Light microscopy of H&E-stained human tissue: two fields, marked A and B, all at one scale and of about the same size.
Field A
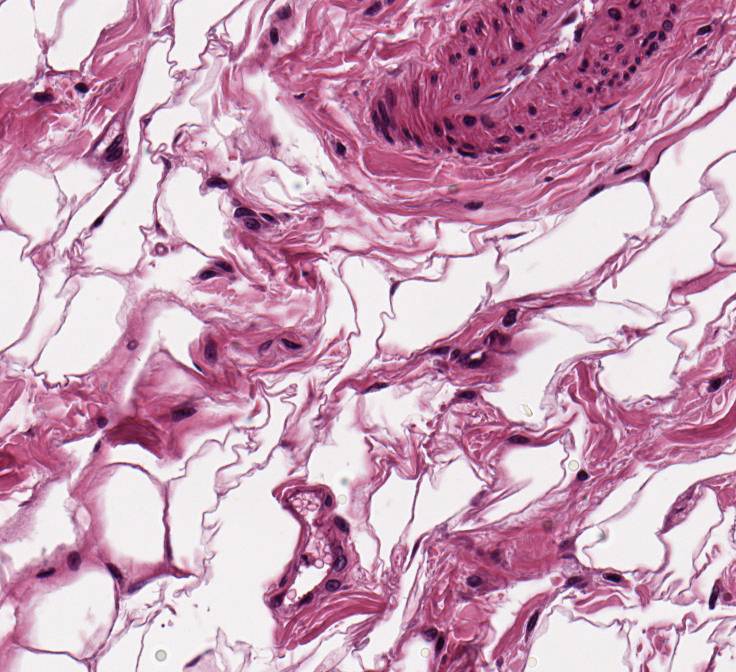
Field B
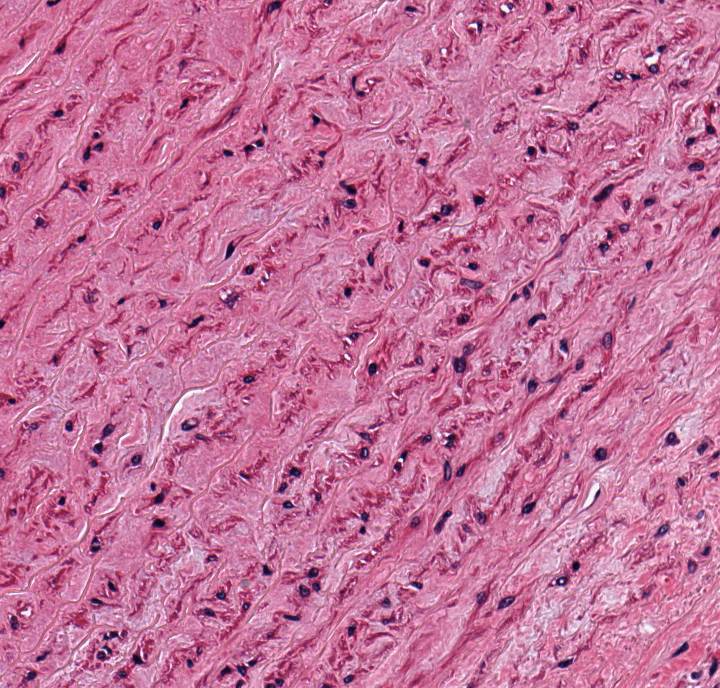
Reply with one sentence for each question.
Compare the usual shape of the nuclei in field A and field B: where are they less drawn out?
The nuclei are rounder in field B.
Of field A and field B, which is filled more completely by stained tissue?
Less of field B is empty and white.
